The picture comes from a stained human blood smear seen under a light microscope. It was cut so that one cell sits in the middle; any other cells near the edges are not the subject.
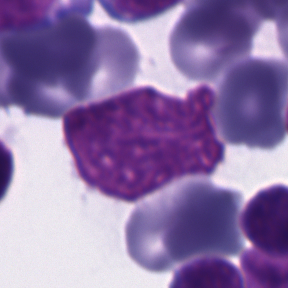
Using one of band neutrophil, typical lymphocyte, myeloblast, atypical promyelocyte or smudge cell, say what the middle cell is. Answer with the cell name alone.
smudge cell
